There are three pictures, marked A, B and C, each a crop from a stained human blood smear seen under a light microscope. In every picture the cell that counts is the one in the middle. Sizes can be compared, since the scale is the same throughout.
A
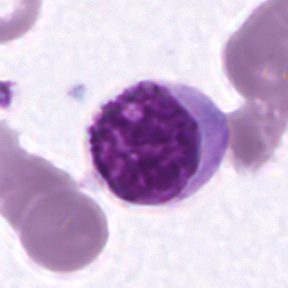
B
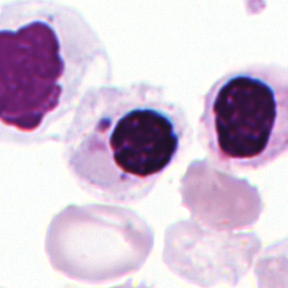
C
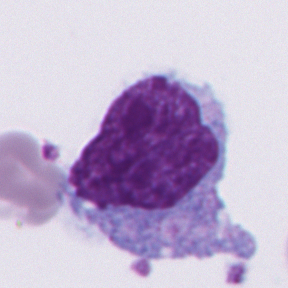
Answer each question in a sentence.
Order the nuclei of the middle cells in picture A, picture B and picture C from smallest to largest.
From the smallest up, the order is B, A, C.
